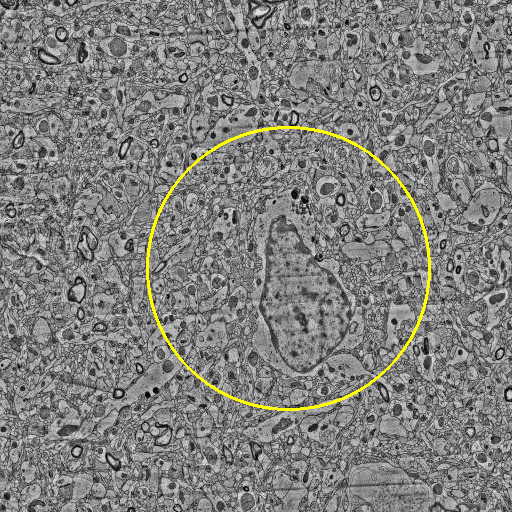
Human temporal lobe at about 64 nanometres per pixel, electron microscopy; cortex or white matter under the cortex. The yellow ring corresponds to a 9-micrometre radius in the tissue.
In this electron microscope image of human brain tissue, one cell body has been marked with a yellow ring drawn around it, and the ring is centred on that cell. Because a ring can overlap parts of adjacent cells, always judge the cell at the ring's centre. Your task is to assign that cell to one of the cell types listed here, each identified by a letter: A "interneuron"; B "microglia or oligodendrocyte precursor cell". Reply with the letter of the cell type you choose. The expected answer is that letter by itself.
B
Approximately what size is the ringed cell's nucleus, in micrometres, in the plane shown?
About 9 by 6 micrometres in this plane; clearly longer than it is wide.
